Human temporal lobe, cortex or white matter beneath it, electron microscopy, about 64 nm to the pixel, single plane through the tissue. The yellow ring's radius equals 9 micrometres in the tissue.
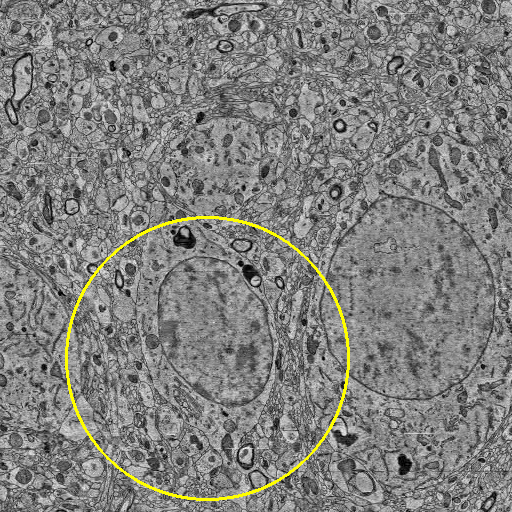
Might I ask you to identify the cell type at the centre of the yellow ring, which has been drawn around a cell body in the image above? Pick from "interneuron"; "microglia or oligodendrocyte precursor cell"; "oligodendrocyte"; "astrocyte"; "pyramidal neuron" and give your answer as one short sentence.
The centre of the ring falls on an interneuron.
